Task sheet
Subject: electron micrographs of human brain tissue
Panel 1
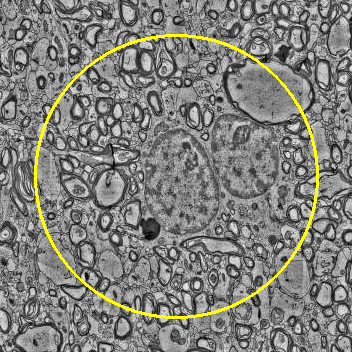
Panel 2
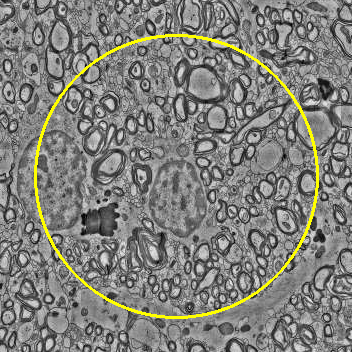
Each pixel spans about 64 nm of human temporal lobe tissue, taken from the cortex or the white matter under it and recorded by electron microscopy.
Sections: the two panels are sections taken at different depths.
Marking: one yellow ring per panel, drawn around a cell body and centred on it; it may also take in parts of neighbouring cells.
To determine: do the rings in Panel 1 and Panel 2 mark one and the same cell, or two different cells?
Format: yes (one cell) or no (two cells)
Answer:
no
